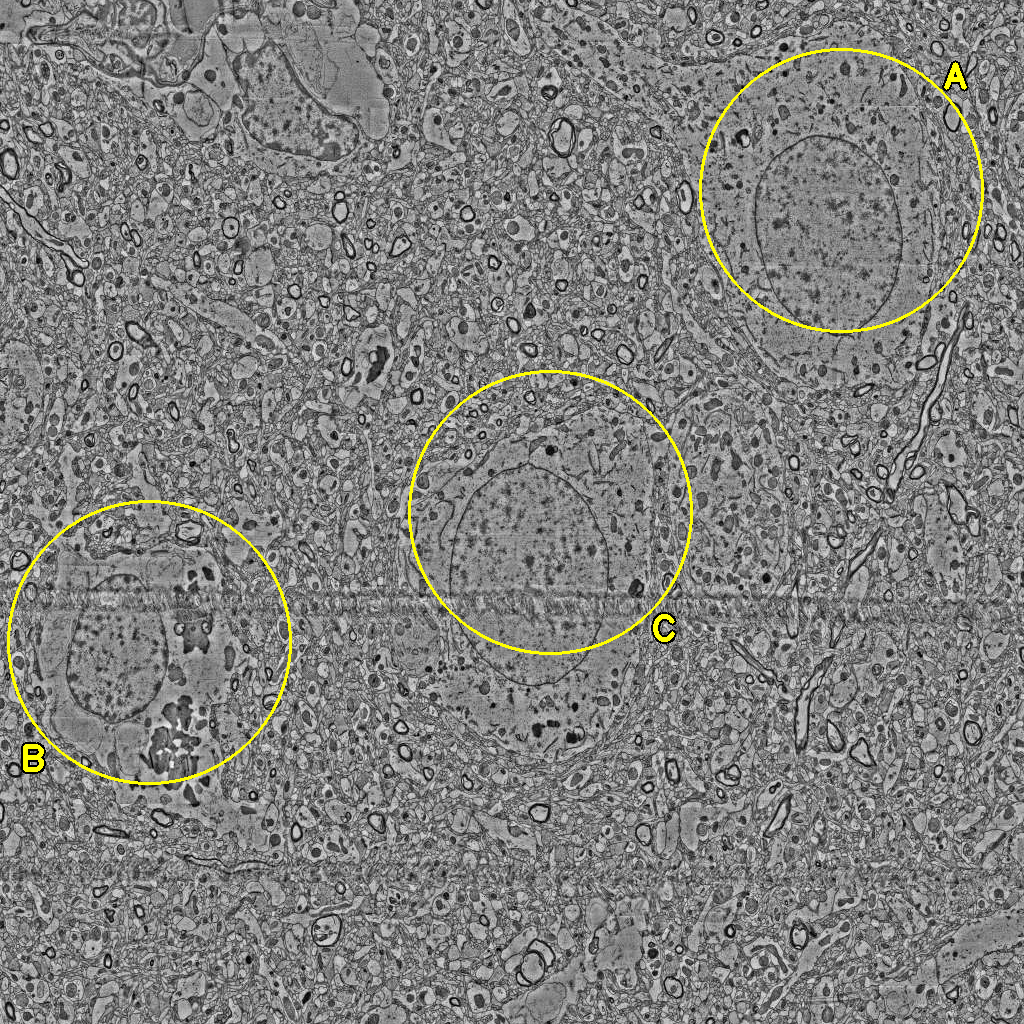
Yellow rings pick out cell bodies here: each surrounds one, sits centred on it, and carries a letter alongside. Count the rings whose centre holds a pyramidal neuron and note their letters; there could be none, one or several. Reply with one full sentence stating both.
The two rings that bear the letters A and C have each been centred on a pyramidal neuron.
